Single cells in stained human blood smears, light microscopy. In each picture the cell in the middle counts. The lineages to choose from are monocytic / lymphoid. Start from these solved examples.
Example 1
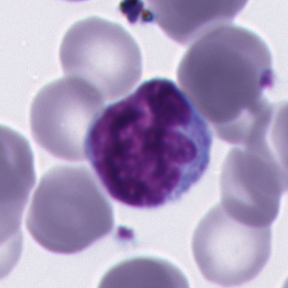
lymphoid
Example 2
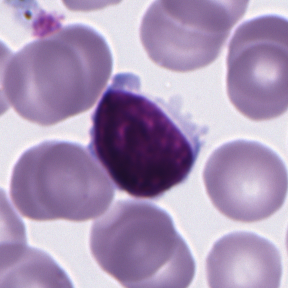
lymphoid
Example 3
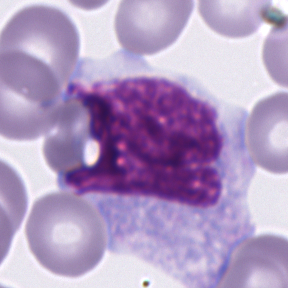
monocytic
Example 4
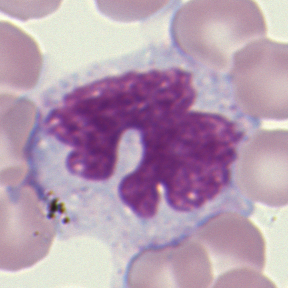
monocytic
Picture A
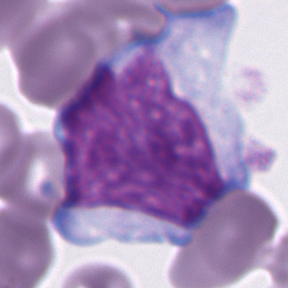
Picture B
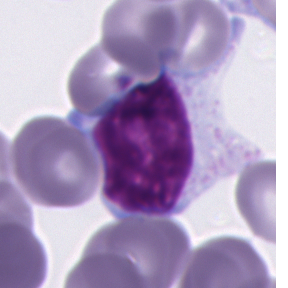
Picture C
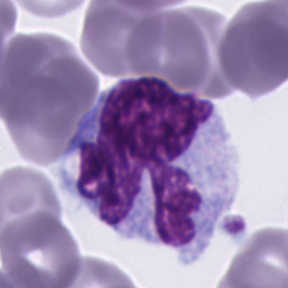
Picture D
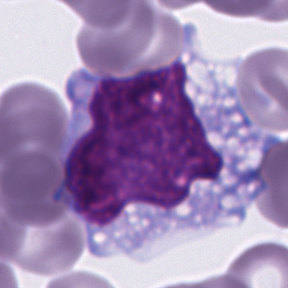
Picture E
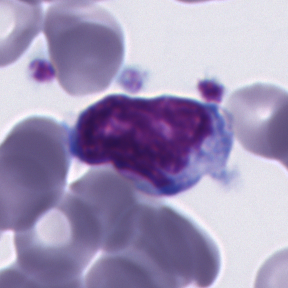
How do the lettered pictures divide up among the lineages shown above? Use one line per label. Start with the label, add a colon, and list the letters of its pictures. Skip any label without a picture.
monocytic: A, C, D
lymphoid: B, E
